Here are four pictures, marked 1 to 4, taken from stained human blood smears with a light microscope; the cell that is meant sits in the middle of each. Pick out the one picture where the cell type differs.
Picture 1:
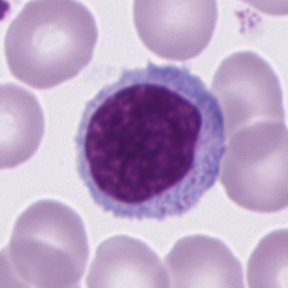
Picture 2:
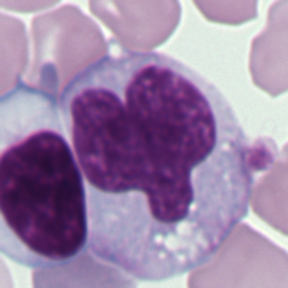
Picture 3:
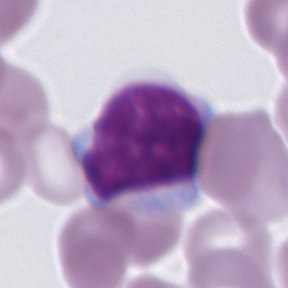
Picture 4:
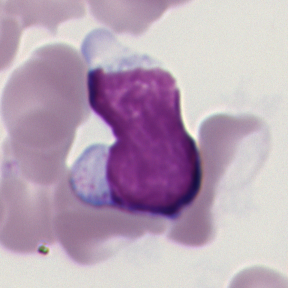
2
